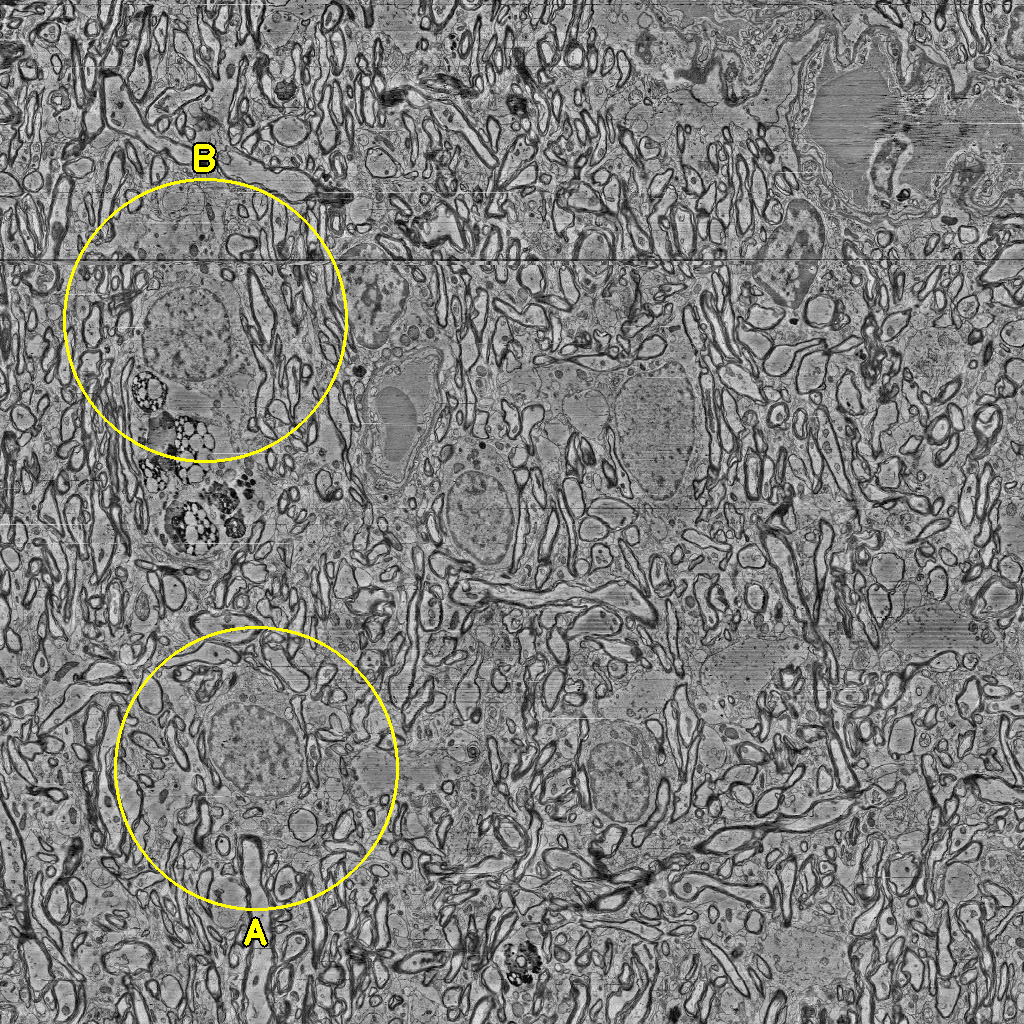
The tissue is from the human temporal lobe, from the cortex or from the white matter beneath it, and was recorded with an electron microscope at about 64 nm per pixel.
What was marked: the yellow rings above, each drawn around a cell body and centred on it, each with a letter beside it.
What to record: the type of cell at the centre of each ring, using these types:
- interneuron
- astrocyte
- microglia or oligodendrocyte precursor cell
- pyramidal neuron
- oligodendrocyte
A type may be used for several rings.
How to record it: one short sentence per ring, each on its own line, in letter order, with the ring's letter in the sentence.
Centred in ring A is an oligodendrocyte.
Centred in ring B is an astrocyte.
